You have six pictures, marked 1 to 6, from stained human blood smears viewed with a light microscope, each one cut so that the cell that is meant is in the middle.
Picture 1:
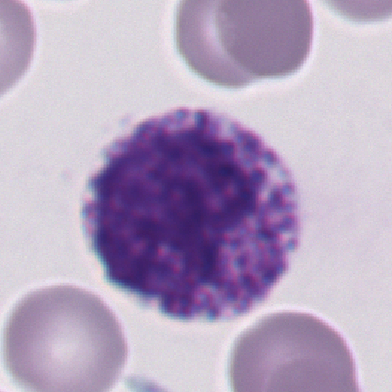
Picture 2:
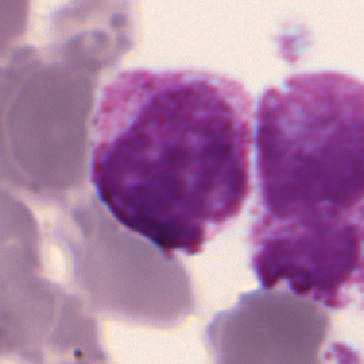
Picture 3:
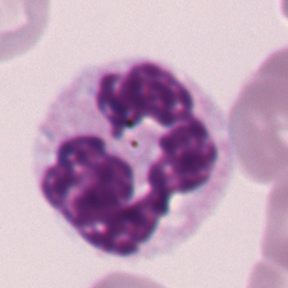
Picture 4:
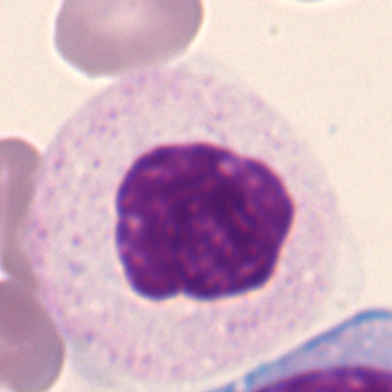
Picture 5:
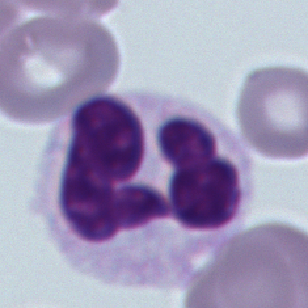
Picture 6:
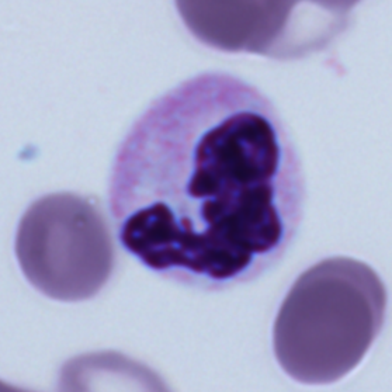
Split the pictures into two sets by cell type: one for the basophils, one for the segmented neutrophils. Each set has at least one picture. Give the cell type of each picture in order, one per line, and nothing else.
basophil
basophil
segmented neutrophil
segmented neutrophil
segmented neutrophil
segmented neutrophil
